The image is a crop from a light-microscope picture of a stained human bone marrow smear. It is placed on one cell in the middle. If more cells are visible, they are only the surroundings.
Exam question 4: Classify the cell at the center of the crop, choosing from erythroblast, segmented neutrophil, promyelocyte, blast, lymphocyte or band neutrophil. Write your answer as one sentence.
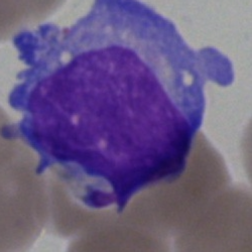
The central cell in this smear crop is a blast.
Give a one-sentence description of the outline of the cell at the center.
A smooth outline is absent here, replaced by ragged stretches or projections.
